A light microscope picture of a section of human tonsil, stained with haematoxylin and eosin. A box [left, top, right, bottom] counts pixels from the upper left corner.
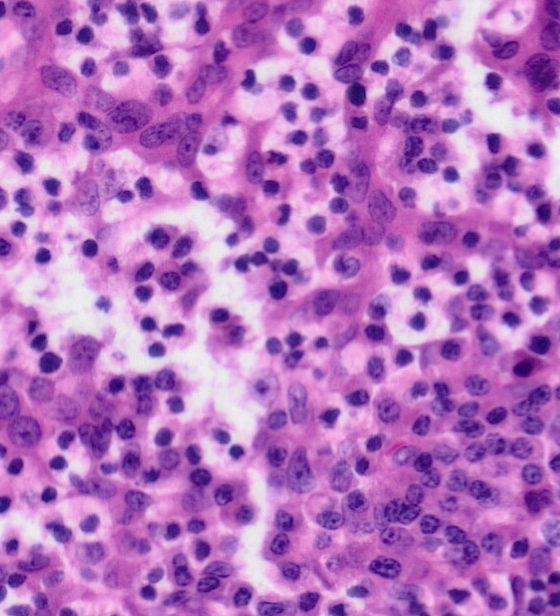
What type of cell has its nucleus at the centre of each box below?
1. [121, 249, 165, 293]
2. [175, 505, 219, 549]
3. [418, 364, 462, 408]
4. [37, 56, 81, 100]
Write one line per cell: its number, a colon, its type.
1: plasma cell
2: plasma cell
3: plasma cell
4: squamous epithelial cell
